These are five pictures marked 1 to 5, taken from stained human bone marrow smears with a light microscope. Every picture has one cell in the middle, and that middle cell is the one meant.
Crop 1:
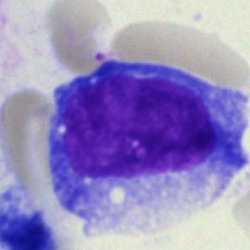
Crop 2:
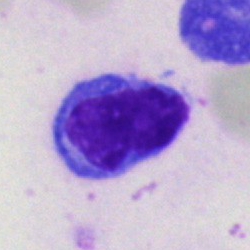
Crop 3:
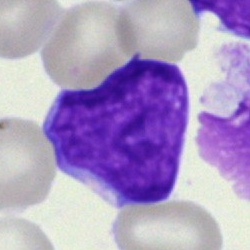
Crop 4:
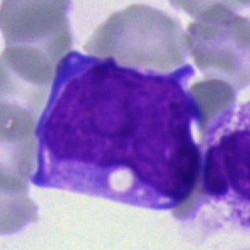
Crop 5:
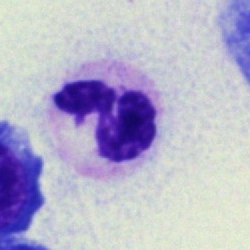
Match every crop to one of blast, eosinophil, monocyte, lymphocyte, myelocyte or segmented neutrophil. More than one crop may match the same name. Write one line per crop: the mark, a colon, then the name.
1: blast
2: lymphocyte
3: blast
4: blast
5: segmented neutrophil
